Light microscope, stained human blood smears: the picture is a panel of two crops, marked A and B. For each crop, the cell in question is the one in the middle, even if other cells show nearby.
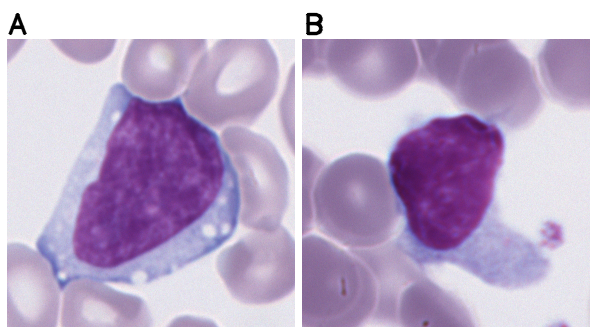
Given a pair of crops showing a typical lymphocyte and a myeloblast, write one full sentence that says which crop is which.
Crop A contains a myeloblast, and crop B, a typical lymphocyte.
